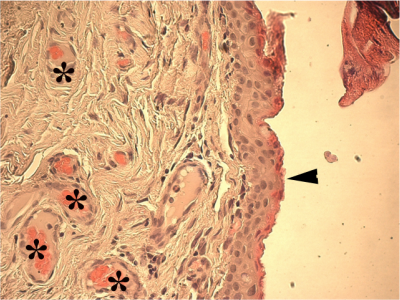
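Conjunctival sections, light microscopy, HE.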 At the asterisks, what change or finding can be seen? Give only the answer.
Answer: Vessel ectasia.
